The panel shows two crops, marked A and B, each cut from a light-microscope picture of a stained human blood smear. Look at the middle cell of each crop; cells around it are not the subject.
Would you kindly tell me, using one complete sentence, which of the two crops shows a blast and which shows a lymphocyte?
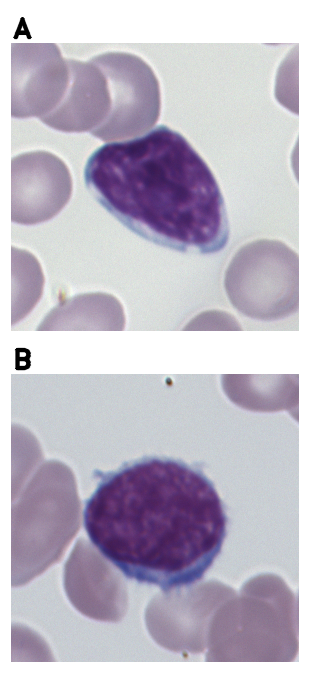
The cell at the centre of crop A is a blast, and at the centre of crop B, a lymphocyte.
